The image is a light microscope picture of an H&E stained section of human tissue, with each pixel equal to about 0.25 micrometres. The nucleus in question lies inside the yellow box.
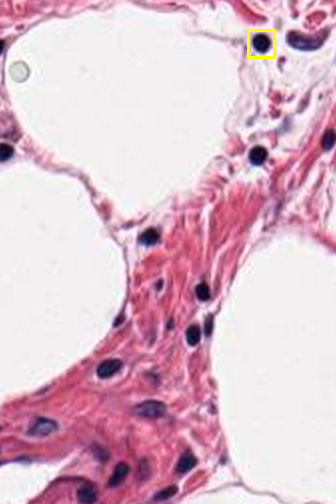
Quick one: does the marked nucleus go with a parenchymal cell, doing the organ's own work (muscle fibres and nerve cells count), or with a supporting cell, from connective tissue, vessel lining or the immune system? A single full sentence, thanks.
Housed within a supporting cell is the marked nucleus.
